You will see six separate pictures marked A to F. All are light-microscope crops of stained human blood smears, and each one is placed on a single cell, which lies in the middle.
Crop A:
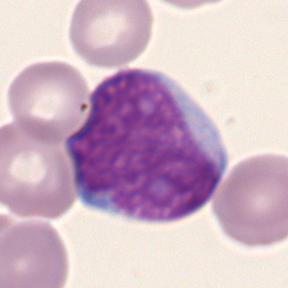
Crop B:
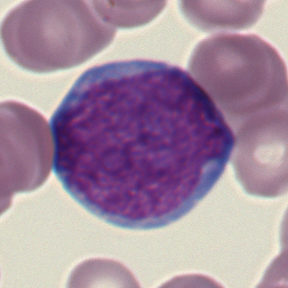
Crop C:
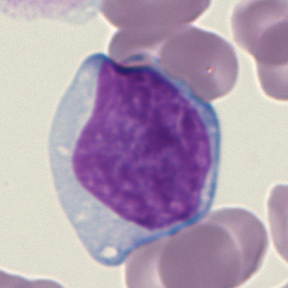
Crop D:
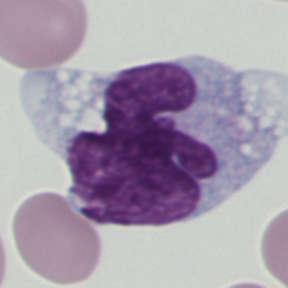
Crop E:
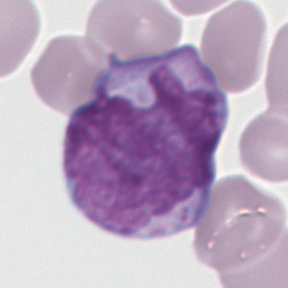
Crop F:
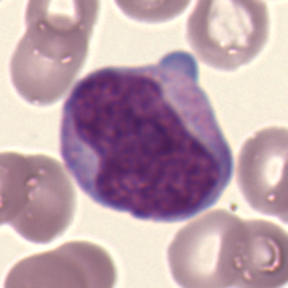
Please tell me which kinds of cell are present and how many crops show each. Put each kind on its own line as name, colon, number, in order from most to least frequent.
myeloblast: 3
atypical promyelocyte: 2
monocyte: 1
